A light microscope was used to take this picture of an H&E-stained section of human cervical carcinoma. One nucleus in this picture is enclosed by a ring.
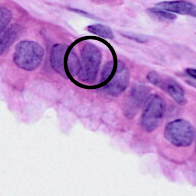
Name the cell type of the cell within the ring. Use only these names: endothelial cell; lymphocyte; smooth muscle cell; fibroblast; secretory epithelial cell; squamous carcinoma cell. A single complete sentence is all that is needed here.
Labelled by cell type, the cell within the ring is a secretory epithelial cell.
